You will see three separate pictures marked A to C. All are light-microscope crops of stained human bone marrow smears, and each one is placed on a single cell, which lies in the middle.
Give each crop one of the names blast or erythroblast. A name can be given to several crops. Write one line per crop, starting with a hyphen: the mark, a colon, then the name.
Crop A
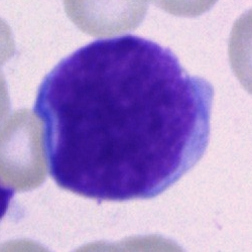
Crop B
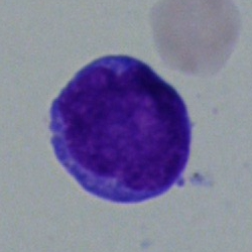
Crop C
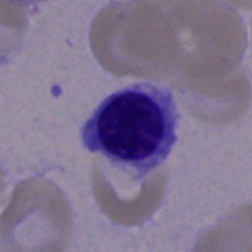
- A: blast
- B: blast
- C: erythroblast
